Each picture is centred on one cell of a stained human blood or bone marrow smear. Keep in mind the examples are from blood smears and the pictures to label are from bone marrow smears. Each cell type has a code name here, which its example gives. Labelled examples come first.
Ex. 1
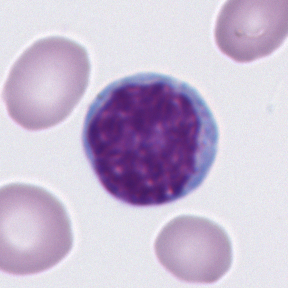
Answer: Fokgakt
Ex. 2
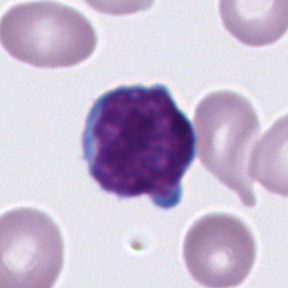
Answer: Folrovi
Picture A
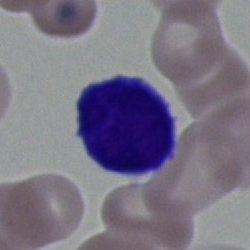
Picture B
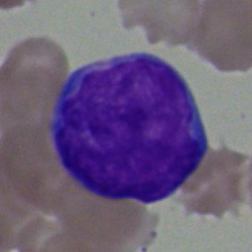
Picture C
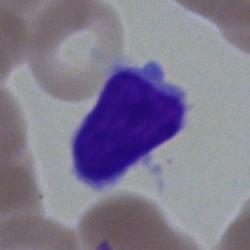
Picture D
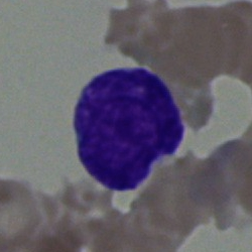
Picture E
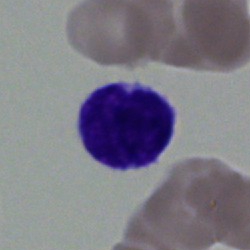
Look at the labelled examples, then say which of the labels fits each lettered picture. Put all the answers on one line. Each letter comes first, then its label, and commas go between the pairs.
A Folrovi, B Fokgakt, C Folrovi, D Fokgakt, E Folrovi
